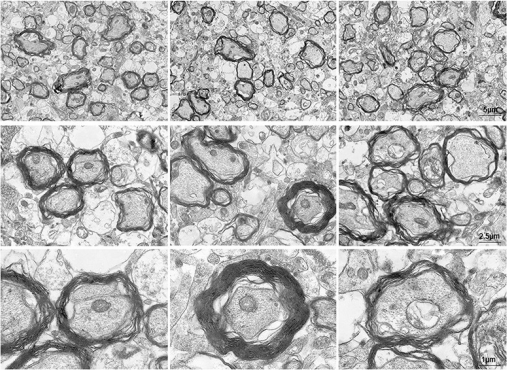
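This transmission electron micrograph of white matter shows axons in cross-section. Many of them are wrapped by thick, dark, multilayered myelin sheaths. At low magnification the myelinated profiles are scattered among paler tissue. At higher magnification the axons hold pale axoplasm with small organelles. Their sheaths consist of many stacked membrane layers, some of them loosely arranged or with separated lamellae at the edges. At the highest magnification one axon is encircled by a particularly thick, concentric sheath. Neighbouring sheaths are irregular and partly wavy, and processes and debris-like membranes lie between the fibres.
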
